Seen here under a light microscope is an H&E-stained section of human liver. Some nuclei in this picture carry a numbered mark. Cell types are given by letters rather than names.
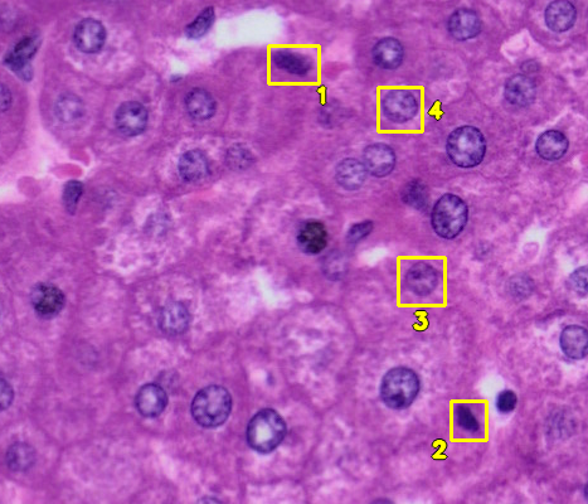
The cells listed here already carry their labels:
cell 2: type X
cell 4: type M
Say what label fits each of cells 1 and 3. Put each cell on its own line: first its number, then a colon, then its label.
1: type X
3: type M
